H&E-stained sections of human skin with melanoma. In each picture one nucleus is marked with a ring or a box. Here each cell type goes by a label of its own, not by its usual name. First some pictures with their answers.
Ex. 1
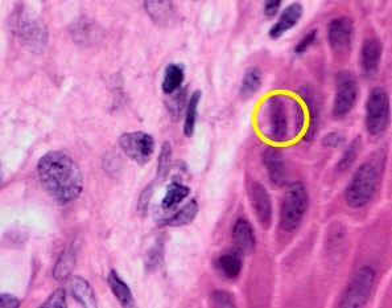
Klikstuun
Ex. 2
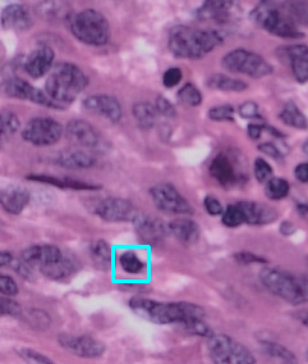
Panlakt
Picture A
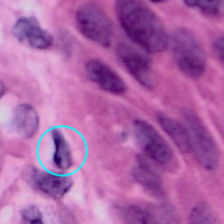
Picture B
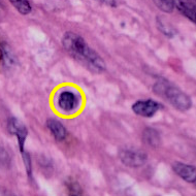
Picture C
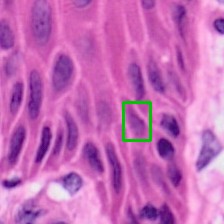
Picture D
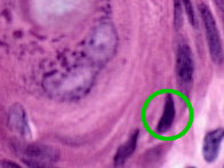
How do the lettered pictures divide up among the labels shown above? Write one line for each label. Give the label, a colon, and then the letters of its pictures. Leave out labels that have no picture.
Klikstuun: C, D
Panlakt: A, B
